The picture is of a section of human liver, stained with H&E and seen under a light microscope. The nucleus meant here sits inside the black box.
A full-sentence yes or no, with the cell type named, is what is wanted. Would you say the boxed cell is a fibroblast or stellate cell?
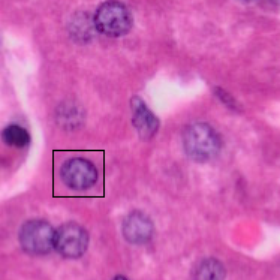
No, the boxed cell is termed a hepatocyte, not a fibroblast or stellate cell.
